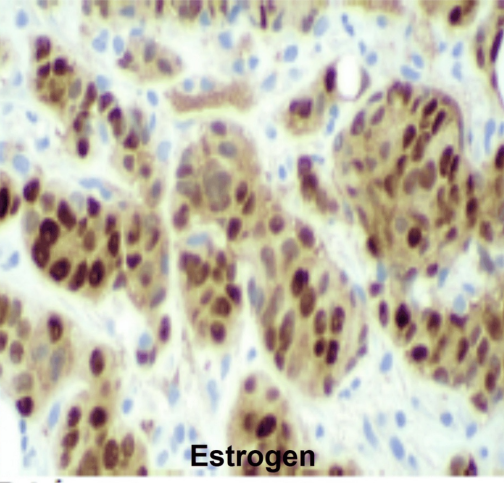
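The cytoplasm of the tumor cells is pale tan. The cell nests are separated by pale stroma whose thin, elongated nuclei are blue and unstained. The staining is spread across the nests rather than limited to a few cells.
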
